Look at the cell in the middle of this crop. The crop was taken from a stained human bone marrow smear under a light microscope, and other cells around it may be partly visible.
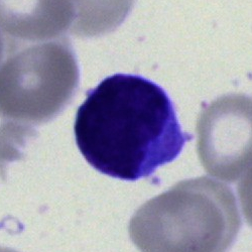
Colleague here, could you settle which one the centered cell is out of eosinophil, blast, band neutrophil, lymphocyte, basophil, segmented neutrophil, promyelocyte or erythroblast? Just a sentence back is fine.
Whatever else lies nearby, the middle cell is a blast.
